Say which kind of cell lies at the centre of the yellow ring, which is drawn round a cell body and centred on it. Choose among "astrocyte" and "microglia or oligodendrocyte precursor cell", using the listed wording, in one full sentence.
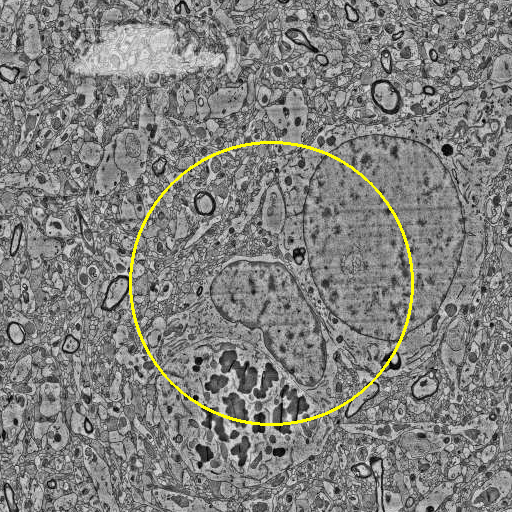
Going by the list, the cell at the yellow ring's centre is a microglial cell or oligodendrocyte precursor cell.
